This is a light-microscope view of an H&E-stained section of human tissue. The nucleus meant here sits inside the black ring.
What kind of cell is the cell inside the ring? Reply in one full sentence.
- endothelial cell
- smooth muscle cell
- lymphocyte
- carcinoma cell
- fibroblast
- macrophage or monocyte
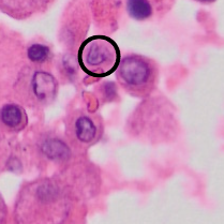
Within this tissue, the cell inside the ring is a macrophage or monocyte.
